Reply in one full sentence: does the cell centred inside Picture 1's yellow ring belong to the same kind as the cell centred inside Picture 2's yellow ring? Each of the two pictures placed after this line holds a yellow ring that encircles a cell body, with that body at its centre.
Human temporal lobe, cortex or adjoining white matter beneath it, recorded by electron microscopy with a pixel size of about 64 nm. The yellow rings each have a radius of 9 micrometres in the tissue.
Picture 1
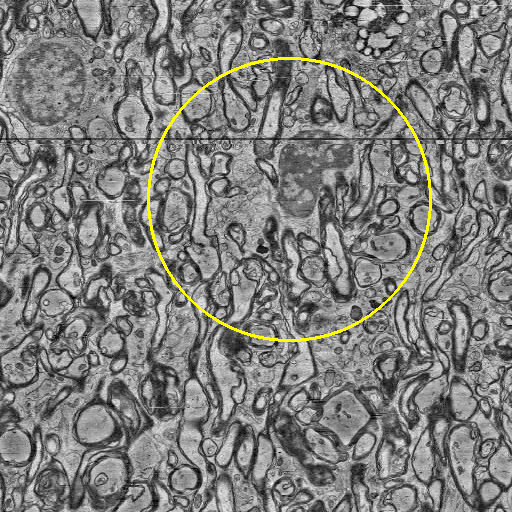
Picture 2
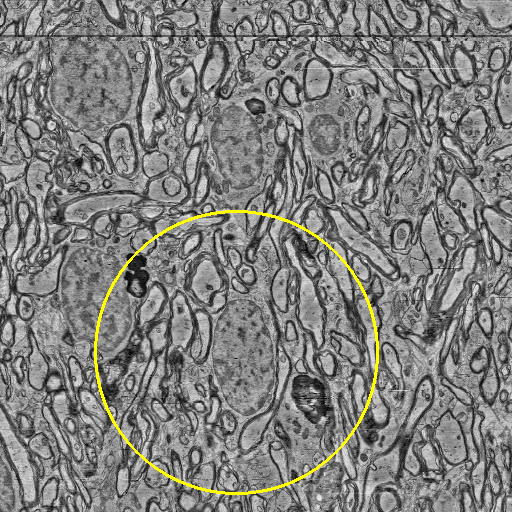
Yes, the ring-centred cells in Picture 1 and Picture 2 are of one and the same kind.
